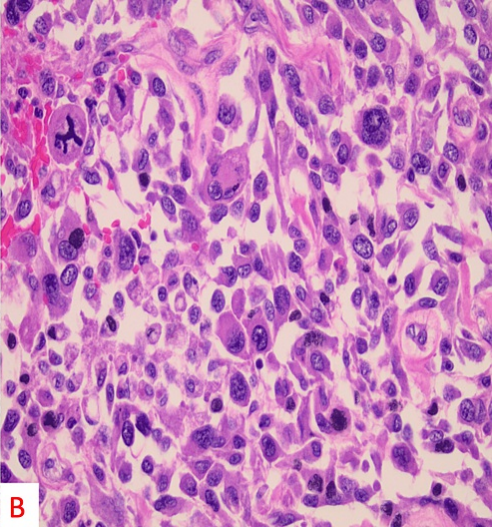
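Scattered among them are cells in division, with dark condensed chromatin clumps instead of a nucleus. In the upper left one large cell shows a bizarre mitotic figure whose chromatin branches in three directions, unlike a normal two-poled division. Red blood cells lie at the left edge between the tumor cells.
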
